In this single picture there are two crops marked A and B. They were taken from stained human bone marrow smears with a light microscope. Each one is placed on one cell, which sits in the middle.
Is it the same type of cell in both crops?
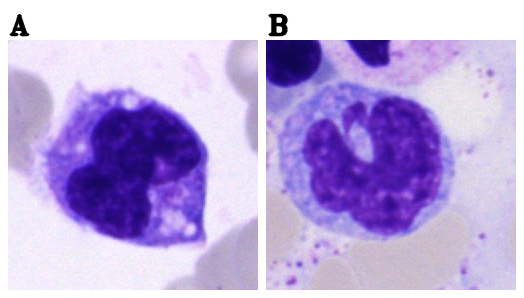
yes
